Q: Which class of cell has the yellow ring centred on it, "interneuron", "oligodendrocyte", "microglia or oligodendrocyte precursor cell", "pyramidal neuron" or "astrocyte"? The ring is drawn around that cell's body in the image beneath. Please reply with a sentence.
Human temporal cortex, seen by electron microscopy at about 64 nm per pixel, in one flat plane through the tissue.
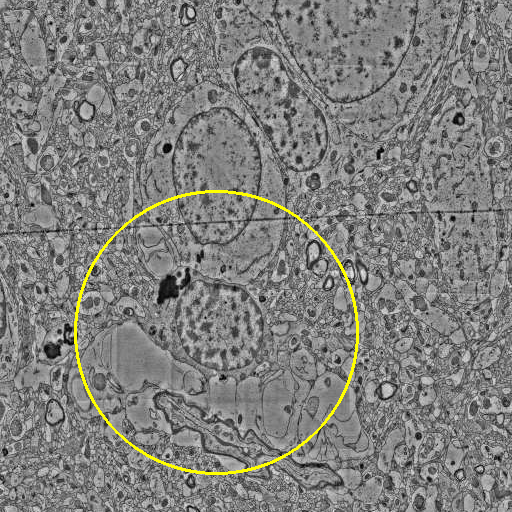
It is centred on an oligodendrocyte.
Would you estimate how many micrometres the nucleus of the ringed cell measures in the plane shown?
The ringed cell's nucleus is about 6 micrometres across in this plane.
